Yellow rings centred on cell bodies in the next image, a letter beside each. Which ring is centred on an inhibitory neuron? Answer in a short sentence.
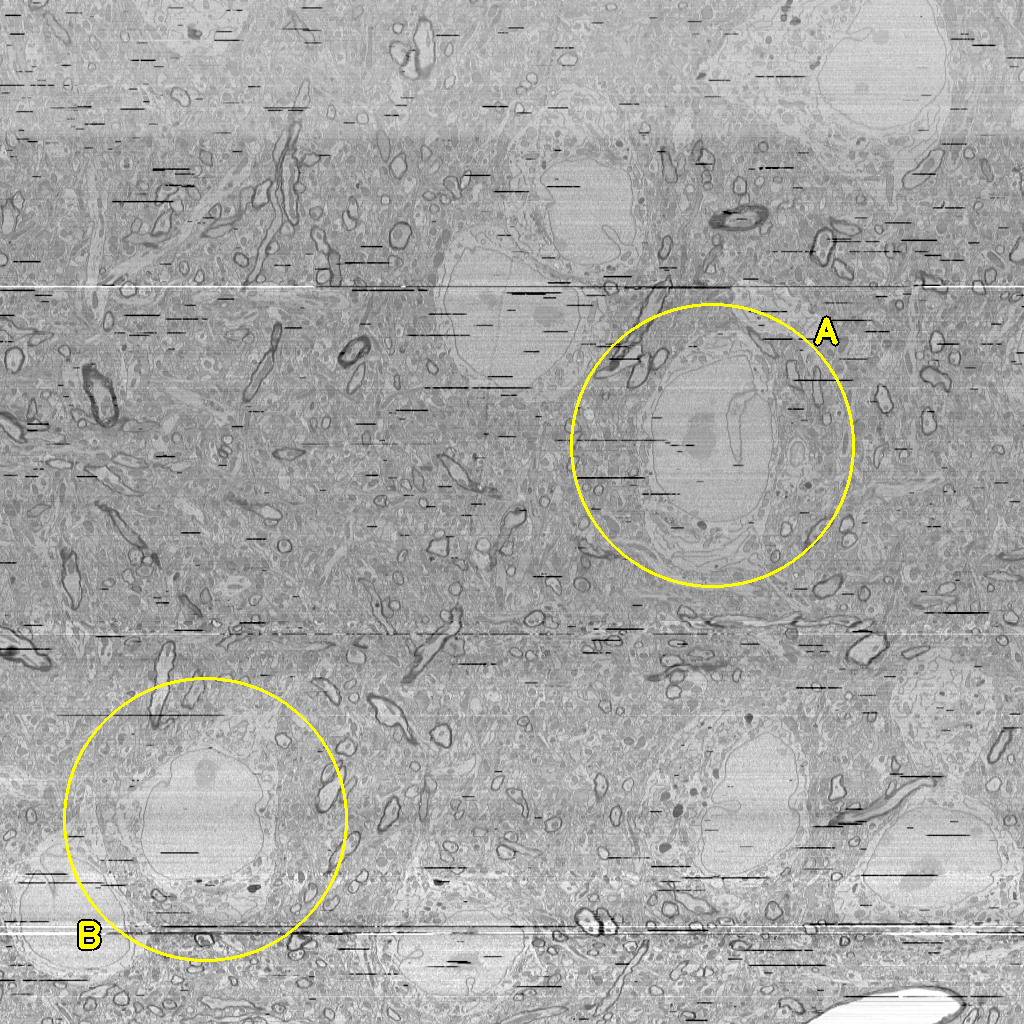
Ring A is centred on it.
